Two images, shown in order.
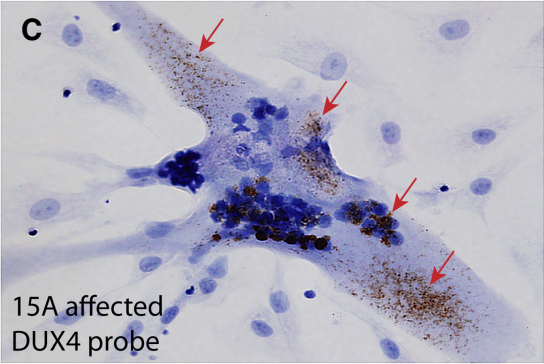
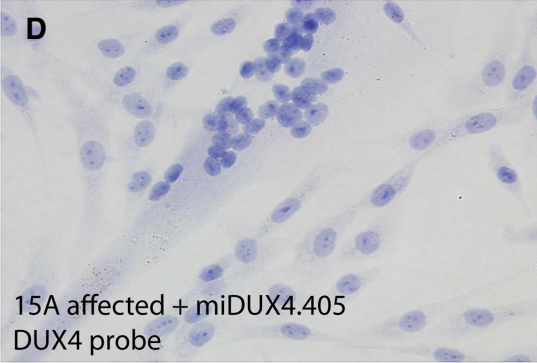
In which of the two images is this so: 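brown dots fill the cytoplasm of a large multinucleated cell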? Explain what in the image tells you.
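Second image: blue-counterstained cells with clustered nuclei and almost no brown dots. First image: dense brown granules over the cytoplasm and nuclei of a large multinucleated cell.
Hence: the first image.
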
